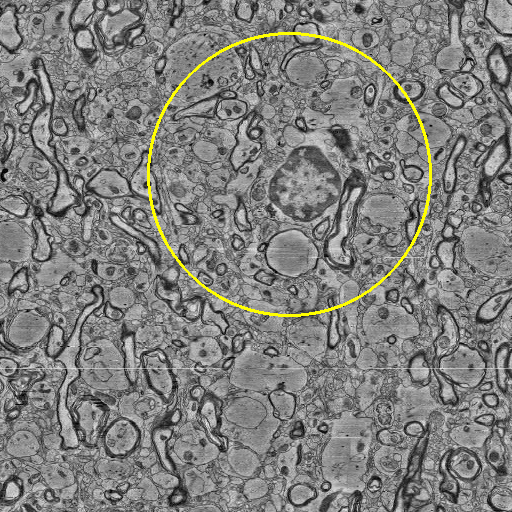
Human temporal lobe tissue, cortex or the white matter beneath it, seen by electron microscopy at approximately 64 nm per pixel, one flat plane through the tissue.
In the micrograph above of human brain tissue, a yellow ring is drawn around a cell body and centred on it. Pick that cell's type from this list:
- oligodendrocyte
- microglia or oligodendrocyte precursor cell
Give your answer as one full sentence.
Going by the list, a microglial cell or oligodendrocyte precursor cell is the cell on which the yellow ring is centred.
